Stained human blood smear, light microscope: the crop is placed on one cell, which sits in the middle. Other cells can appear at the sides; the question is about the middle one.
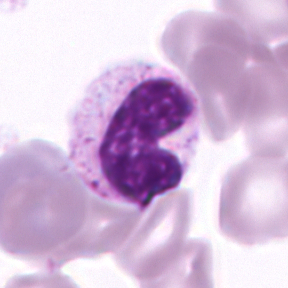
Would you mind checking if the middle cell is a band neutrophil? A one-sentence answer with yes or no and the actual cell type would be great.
Yes, the cell in the middle is rightly called a band neutrophil.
